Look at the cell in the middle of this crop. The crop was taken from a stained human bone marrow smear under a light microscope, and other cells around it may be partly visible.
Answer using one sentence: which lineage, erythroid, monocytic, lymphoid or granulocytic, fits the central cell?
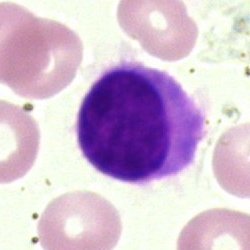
Among the lineages, the lymphoid one is that of the central cell.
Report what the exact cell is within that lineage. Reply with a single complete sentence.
The crop centres on a single cell, and that cell is a hairy cell.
